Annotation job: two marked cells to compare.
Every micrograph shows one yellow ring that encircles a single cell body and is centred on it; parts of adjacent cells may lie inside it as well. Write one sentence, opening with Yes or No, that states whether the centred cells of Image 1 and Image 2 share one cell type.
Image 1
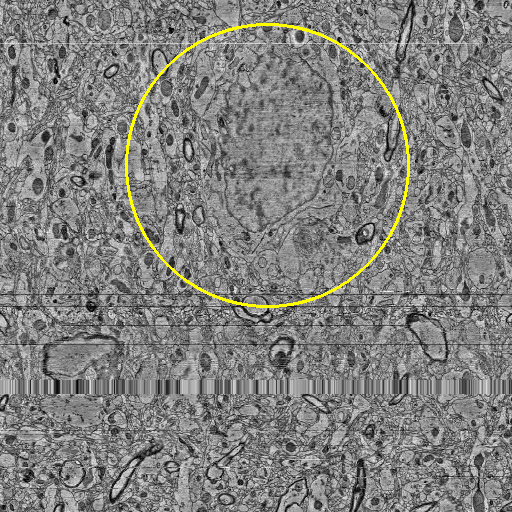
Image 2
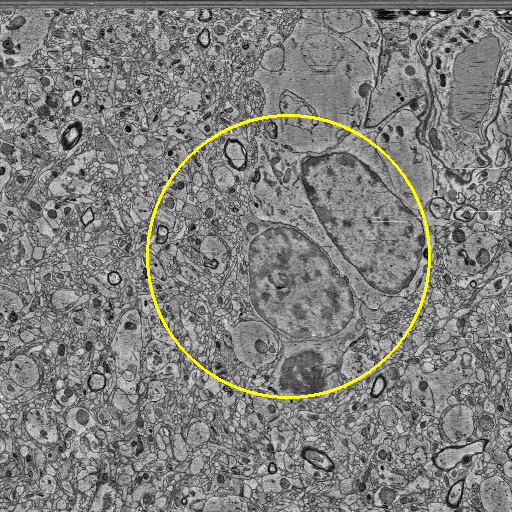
No, the cell centred in Image 1 and the cell centred in Image 2 are of two types.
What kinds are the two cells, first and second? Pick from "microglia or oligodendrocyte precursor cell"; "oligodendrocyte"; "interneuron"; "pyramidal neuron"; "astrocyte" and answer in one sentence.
The second picture holds an oligodendrocyte in its ring, and the first holds an interneuron.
